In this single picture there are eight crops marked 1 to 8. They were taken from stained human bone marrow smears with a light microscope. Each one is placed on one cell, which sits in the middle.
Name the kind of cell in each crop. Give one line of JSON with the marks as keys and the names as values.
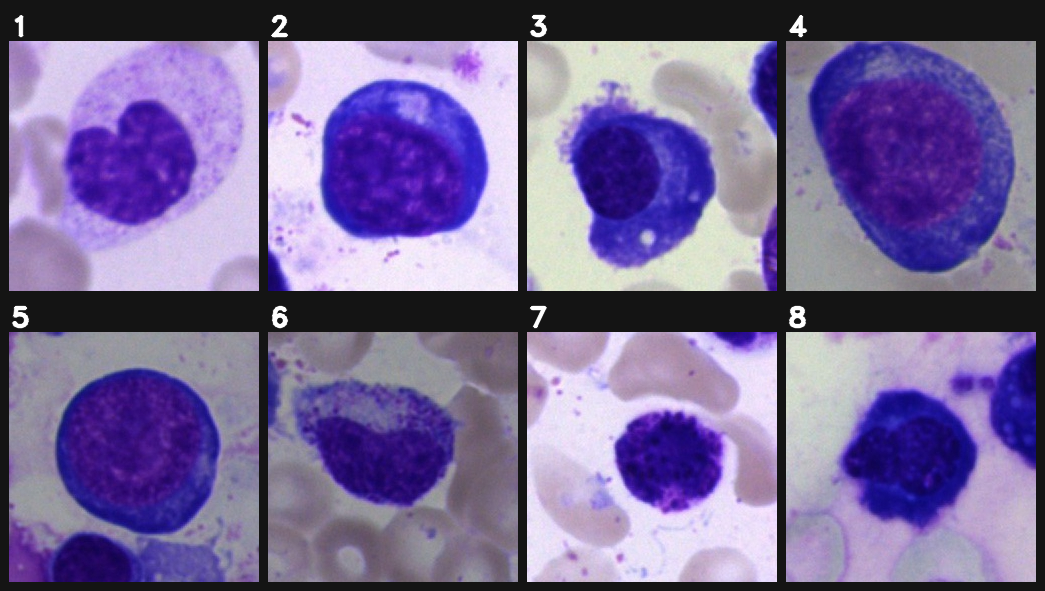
{"1": "metamyelocyte", "2": "proerythroblast", "3": "plasma cell", "4": "proerythroblast", "5": "proerythroblast", "6": "metamyelocyte", "7": "basophil", "8": "plasma cell"}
